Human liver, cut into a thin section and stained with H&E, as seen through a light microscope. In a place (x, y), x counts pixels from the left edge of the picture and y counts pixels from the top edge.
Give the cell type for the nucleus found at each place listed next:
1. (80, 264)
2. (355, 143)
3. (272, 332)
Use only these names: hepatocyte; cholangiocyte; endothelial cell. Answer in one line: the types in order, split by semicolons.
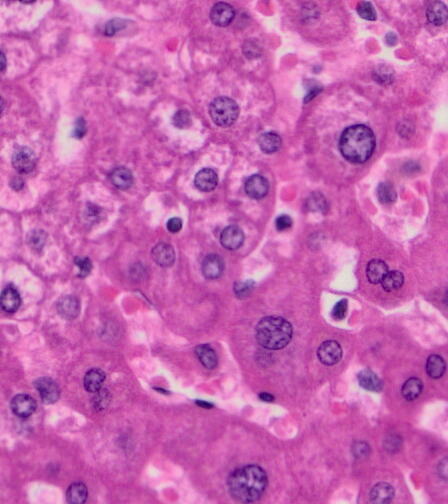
endothelial cell; hepatocyte; hepatocyte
